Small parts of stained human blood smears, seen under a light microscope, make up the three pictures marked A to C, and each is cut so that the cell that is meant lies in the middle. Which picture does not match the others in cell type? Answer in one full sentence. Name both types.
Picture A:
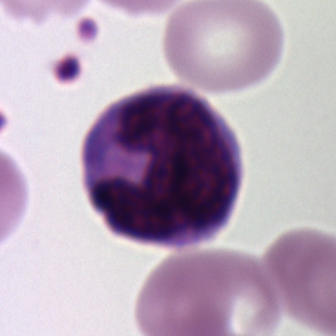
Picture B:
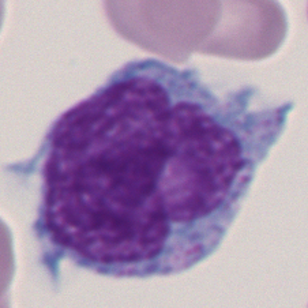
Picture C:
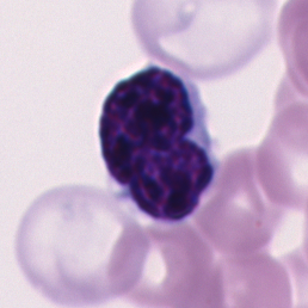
Unlike the rest, which show monocytes, picture C shows a normoblast.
